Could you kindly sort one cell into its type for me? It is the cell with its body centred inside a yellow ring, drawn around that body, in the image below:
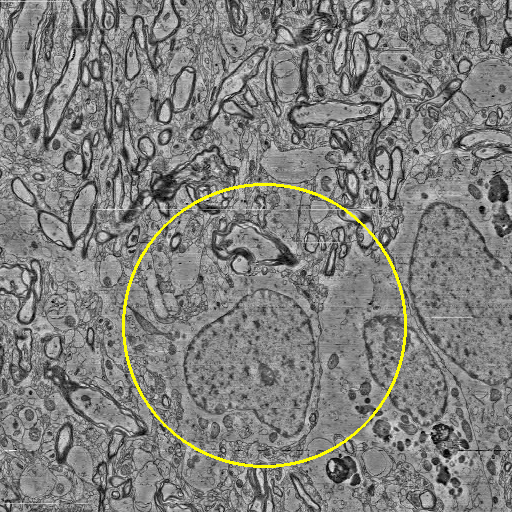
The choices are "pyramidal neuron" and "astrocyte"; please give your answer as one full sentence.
The cell whose body lies centred in the yellow ring here is an astrocyte.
